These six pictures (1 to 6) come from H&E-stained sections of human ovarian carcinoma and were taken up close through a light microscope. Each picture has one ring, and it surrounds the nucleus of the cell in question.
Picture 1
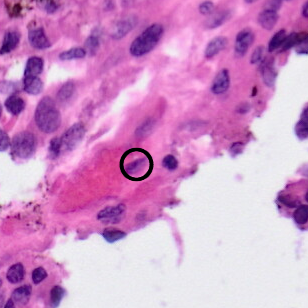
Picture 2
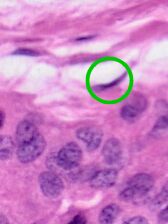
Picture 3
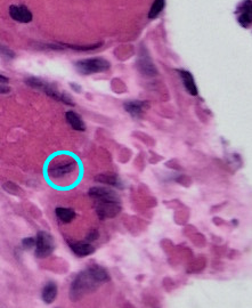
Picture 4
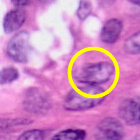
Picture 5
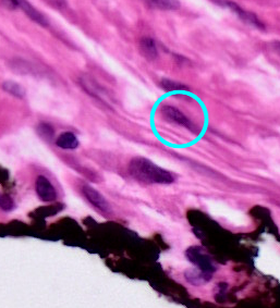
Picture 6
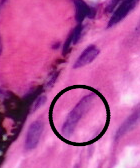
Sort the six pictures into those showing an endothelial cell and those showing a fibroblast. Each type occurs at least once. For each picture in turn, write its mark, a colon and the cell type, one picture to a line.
1: endothelial cell
2: fibroblast
3: endothelial cell
4: endothelial cell
5: fibroblast
6: fibroblast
